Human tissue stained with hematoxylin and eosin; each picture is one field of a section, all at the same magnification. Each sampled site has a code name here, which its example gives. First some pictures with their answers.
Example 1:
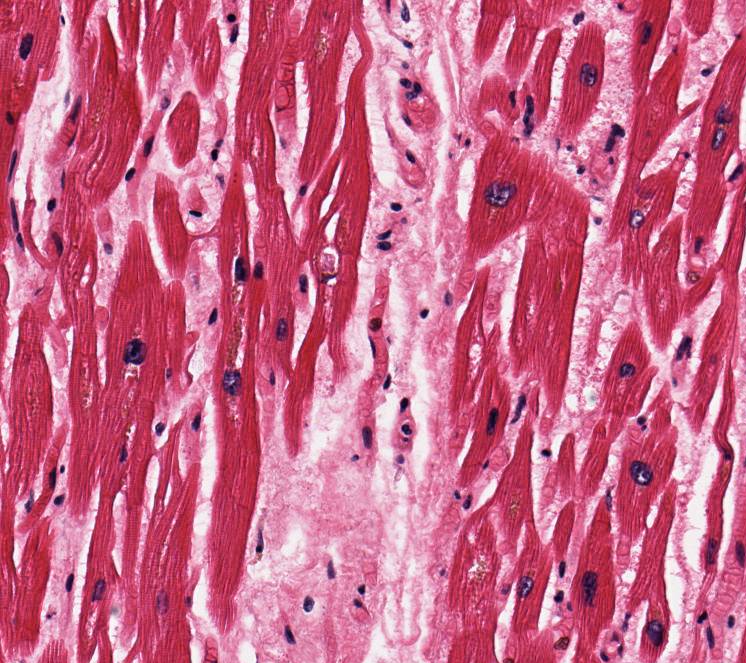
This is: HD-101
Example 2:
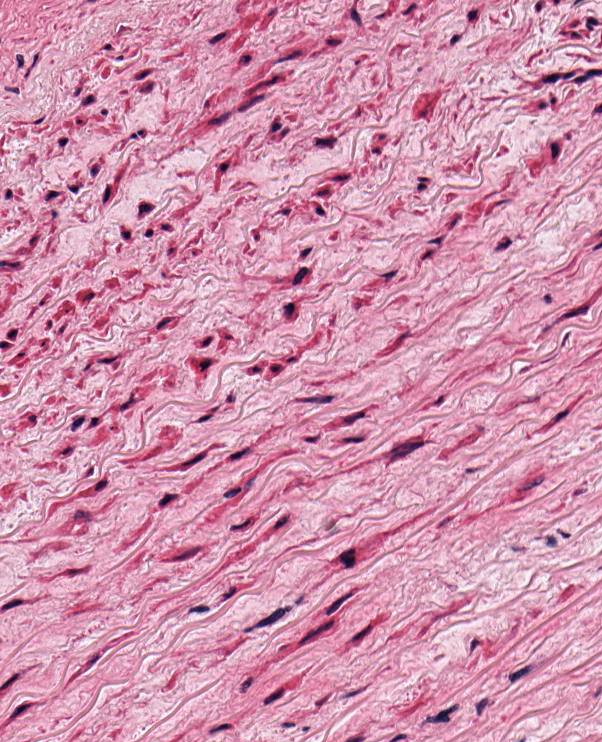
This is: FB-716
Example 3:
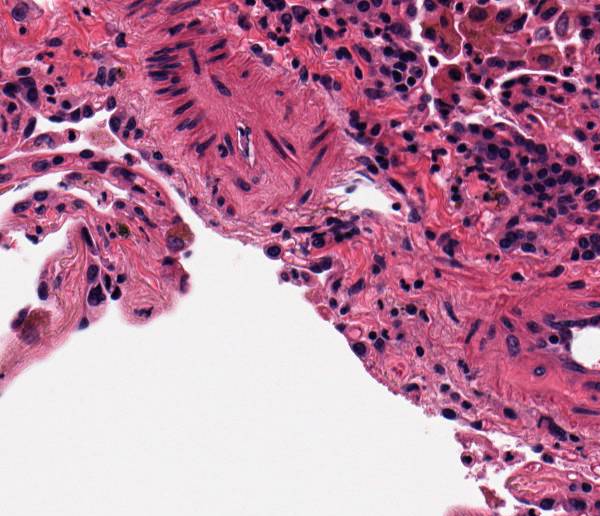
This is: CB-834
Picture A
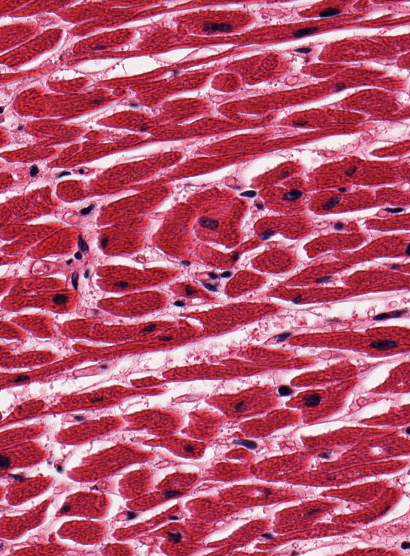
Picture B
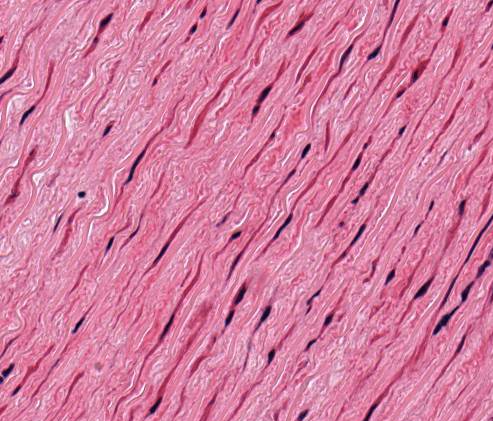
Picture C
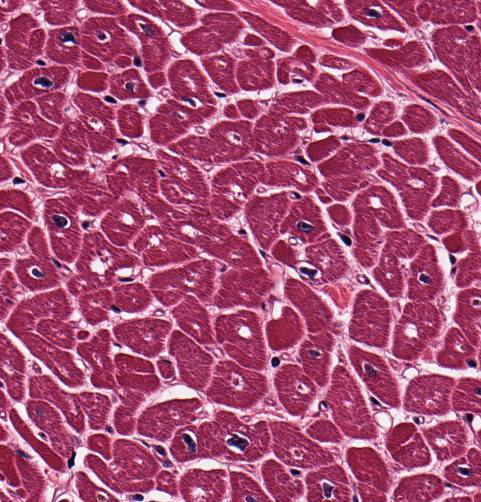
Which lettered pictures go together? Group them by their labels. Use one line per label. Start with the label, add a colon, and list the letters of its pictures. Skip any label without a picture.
HD-101: A, C
FB-716: B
